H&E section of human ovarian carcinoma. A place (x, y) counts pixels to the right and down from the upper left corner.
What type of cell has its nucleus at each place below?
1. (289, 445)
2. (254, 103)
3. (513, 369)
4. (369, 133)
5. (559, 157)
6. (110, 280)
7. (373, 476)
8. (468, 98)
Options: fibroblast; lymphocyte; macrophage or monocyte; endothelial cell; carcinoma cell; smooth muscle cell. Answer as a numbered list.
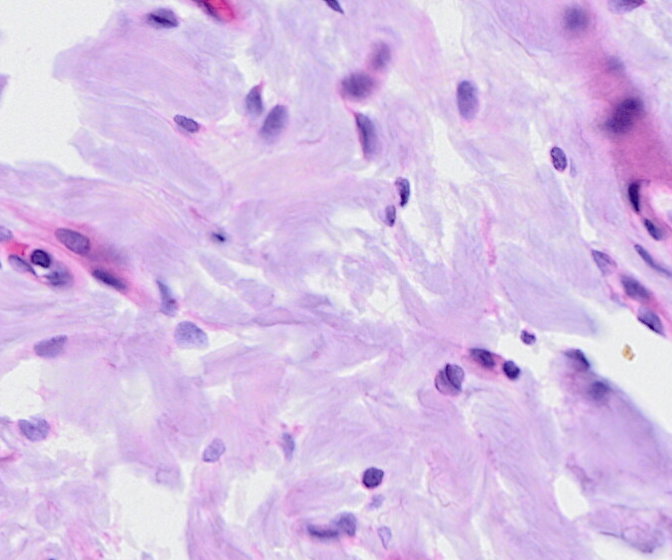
1. fibroblast
2. fibroblast
3. lymphocyte
4. fibroblast
5. lymphocyte
6. smooth muscle cell
7. lymphocyte
8. fibroblast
